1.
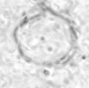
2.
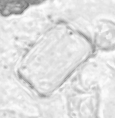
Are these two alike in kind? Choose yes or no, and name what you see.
Yes. Discostella.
